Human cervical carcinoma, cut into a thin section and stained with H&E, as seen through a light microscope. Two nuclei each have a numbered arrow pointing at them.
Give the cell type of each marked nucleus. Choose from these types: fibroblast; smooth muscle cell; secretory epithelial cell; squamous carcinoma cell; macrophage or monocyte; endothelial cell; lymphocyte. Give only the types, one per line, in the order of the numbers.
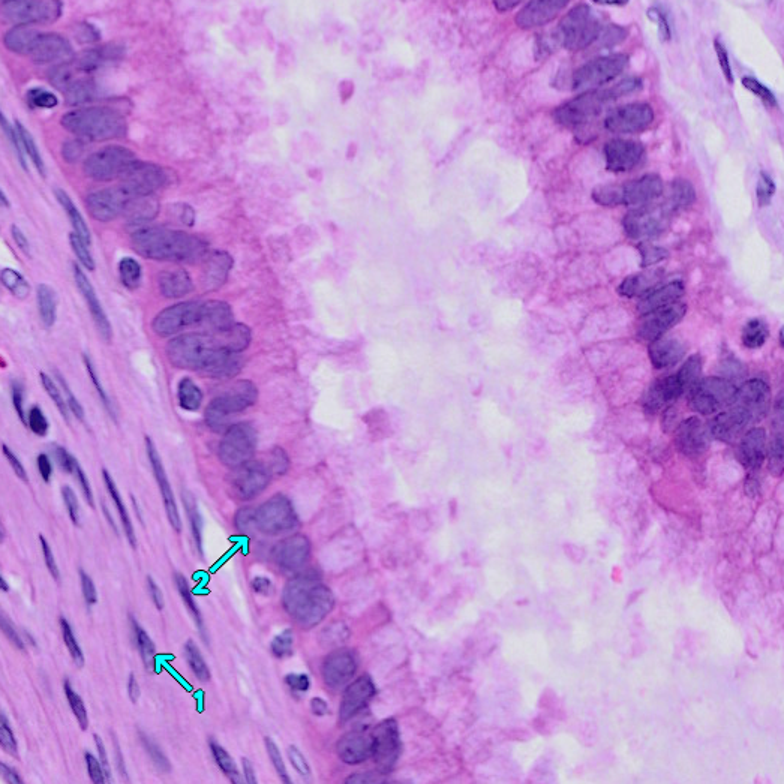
fibroblast
secretory epithelial cell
